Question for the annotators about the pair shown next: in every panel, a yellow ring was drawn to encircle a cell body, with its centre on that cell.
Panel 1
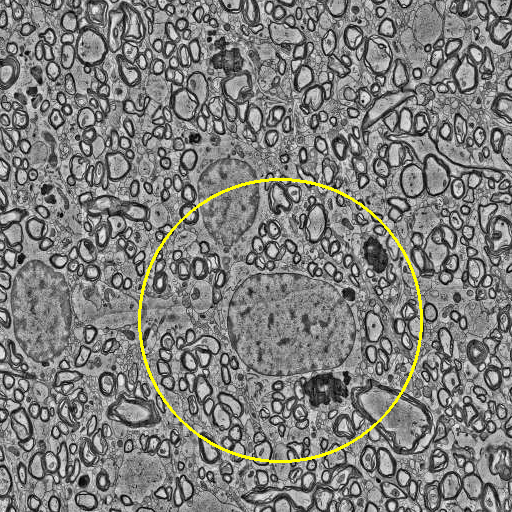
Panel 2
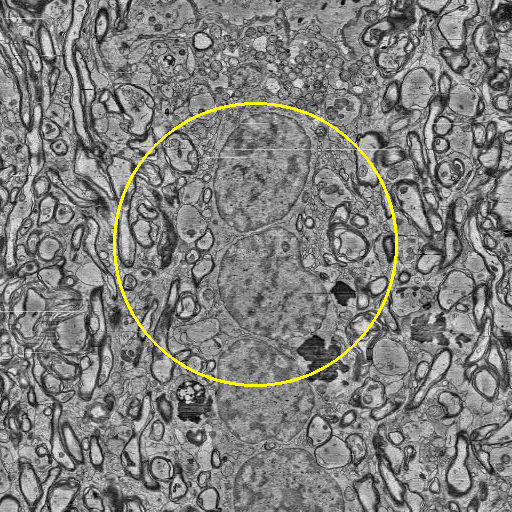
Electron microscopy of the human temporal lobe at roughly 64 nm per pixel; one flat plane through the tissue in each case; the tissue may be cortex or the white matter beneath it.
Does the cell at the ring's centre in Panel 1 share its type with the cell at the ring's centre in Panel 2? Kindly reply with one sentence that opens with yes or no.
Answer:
No, in Panels 1 and 2 the cells at the ring centres belong to separate types.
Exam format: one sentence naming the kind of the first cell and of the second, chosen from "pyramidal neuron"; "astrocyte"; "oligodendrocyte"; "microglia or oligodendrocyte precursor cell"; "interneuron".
The first picture's cell is a microglial cell or oligodendrocyte precursor cell, and the second picture's cell is an oligodendrocyte.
